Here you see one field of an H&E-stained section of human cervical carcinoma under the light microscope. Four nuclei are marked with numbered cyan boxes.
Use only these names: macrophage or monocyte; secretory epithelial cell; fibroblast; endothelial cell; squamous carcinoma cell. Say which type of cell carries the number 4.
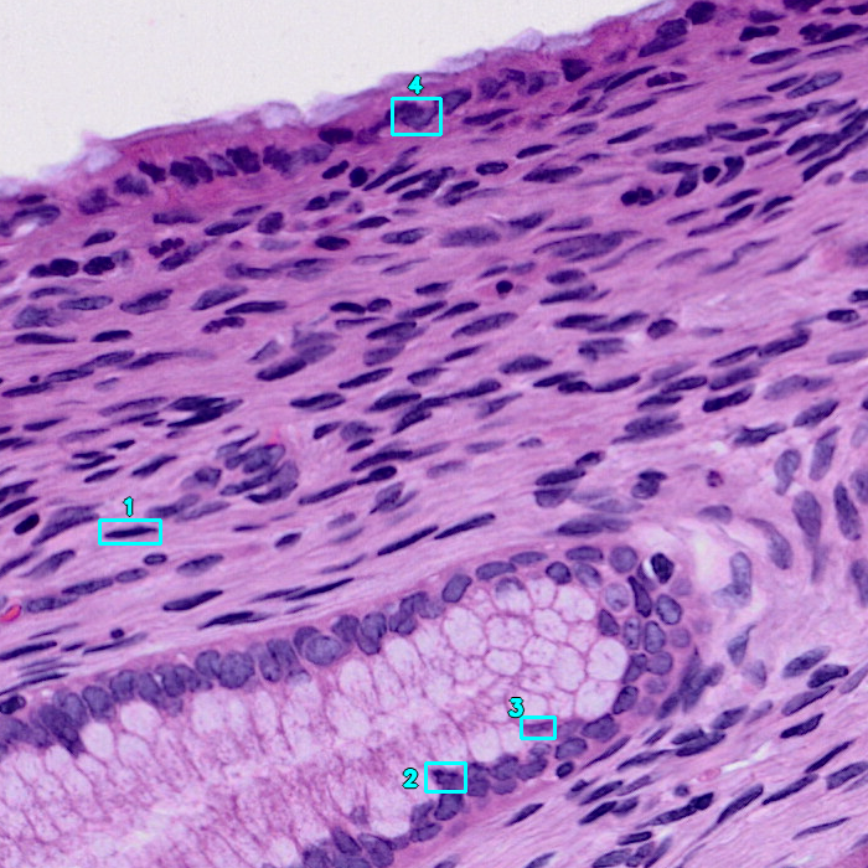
secretory epithelial cell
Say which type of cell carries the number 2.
secretory epithelial cell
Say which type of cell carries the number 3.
secretory epithelial cell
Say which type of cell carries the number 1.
fibroblast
